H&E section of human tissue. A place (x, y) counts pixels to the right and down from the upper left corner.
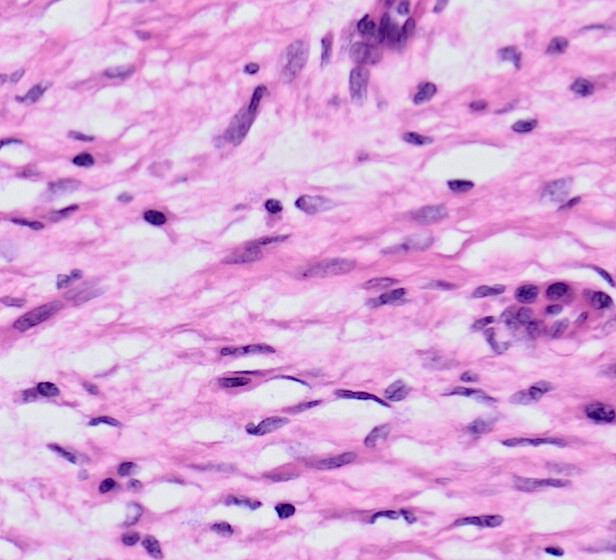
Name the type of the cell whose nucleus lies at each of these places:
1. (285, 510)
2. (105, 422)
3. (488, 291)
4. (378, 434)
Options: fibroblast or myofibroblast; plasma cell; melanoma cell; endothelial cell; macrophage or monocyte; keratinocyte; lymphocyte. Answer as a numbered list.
1. lymphocyte
2. fibroblast or myofibroblast
3. fibroblast or myofibroblast
4. fibroblast or myofibroblast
